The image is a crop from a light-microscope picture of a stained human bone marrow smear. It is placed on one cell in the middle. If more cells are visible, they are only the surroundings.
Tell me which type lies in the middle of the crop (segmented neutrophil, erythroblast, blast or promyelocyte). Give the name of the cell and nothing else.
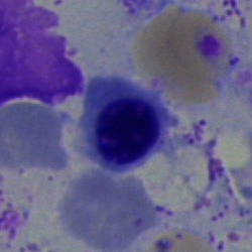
erythroblast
